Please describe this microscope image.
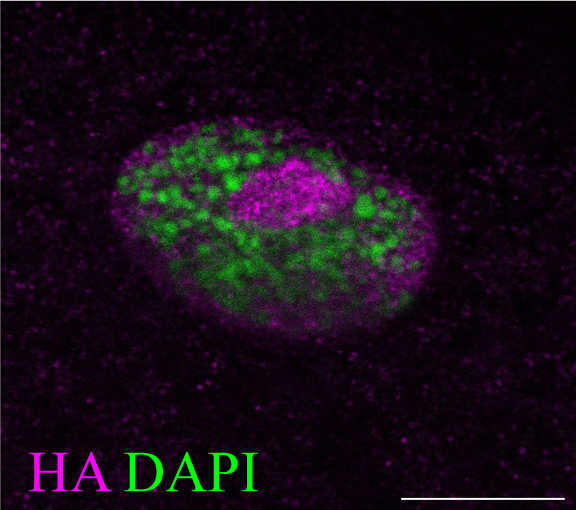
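Green granular chromatin clumps are scattered through the nucleus. Magenta fills the nuclear interior diffusely and is brightest in a compact central patch, while the surrounding cytoplasm is nearly dark.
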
